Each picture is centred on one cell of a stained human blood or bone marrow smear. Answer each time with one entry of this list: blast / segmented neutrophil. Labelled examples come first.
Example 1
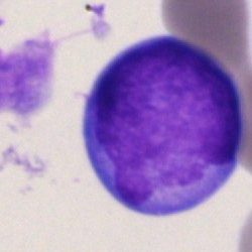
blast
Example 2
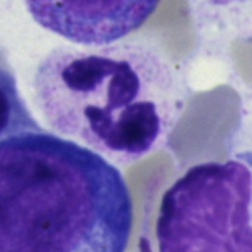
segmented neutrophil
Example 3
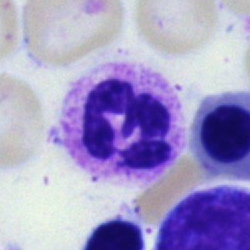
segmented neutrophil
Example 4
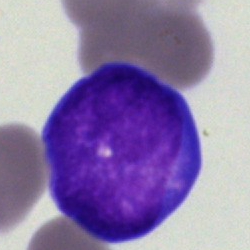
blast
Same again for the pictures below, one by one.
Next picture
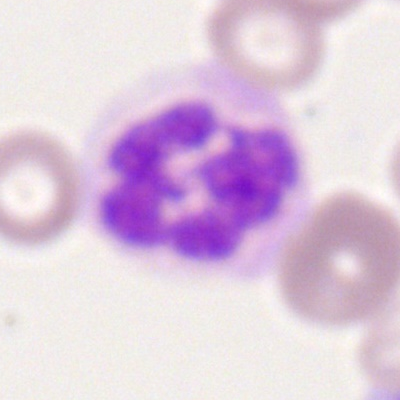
segmented neutrophil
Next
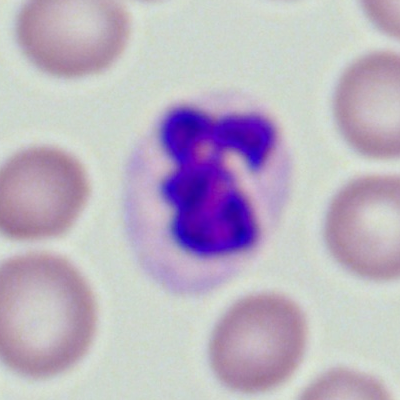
segmented neutrophil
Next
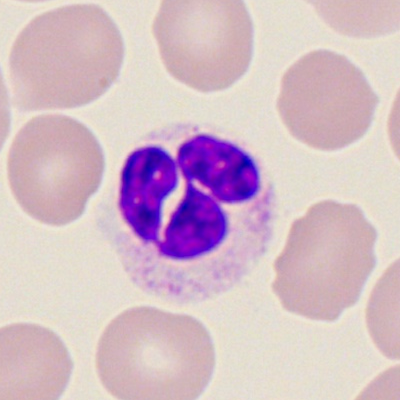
segmented neutrophil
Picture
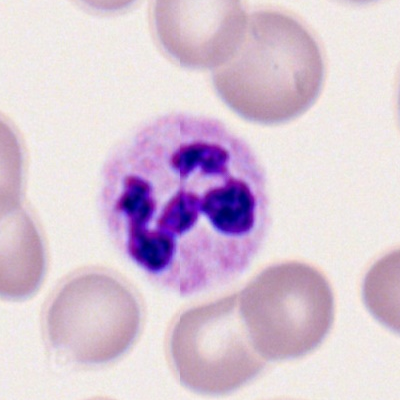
segmented neutrophil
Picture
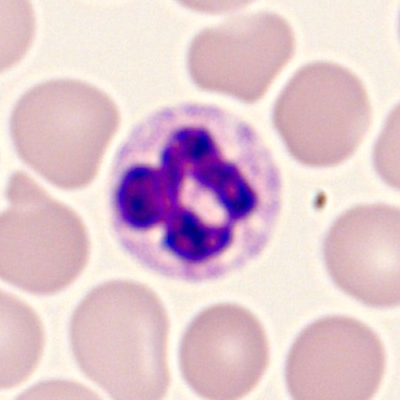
segmented neutrophil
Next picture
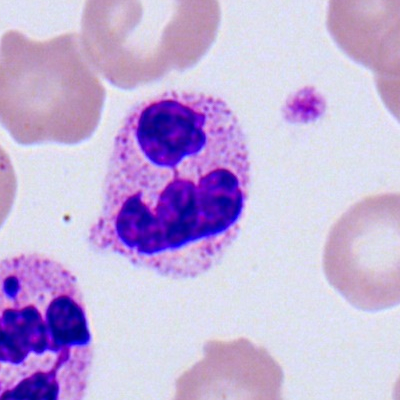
segmented neutrophil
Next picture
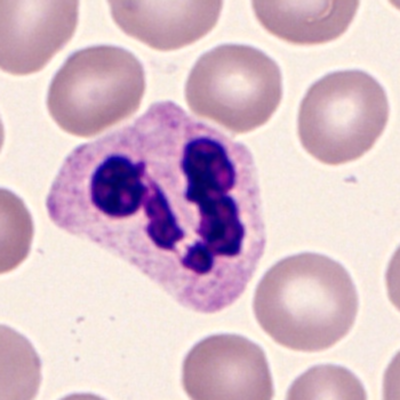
segmented neutrophil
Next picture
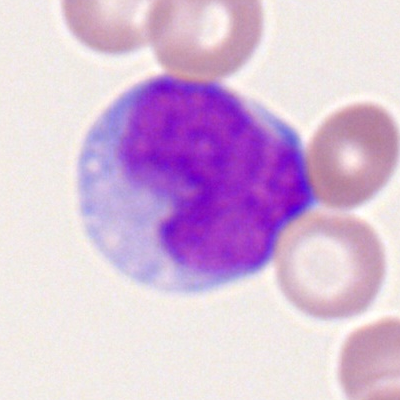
blast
